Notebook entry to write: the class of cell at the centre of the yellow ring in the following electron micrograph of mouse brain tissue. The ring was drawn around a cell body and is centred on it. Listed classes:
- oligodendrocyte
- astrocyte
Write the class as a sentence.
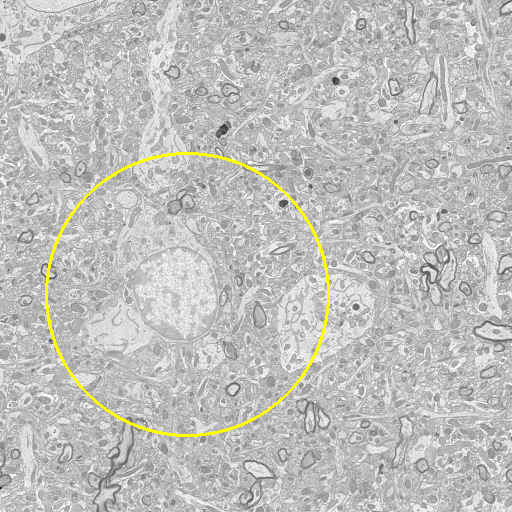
The yellow ring sits on an oligodendrocyte.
